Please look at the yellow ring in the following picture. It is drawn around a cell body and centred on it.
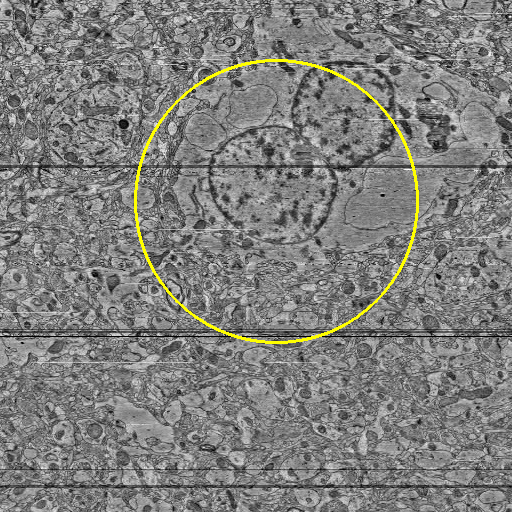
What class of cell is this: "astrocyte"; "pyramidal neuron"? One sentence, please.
The ring surrounds the cell body of an astrocyte.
